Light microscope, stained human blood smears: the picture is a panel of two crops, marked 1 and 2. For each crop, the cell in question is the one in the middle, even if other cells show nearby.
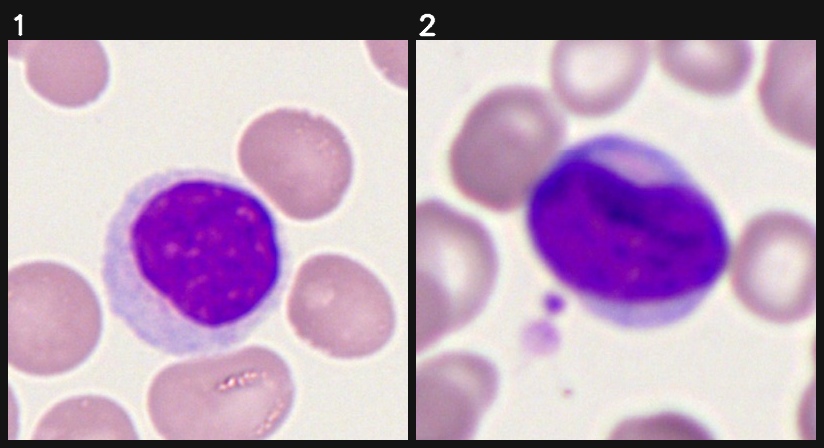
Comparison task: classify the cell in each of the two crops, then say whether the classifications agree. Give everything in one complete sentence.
No, crop 1 contains a lymphocyte; a myeloblast is what crop 2 contains.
